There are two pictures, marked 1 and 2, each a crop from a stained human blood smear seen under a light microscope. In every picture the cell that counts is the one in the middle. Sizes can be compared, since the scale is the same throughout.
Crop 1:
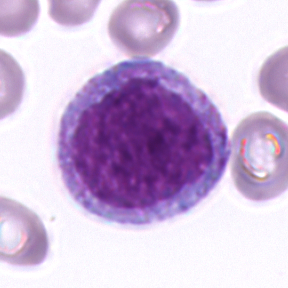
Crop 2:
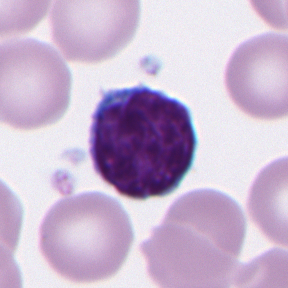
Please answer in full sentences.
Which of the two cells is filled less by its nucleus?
It is the cell in crop 1 that is filled less by its nucleus.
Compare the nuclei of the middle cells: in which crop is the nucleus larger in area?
The nucleus in crop 1 is larger, with about 1.5 times the area of the one in crop 2.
